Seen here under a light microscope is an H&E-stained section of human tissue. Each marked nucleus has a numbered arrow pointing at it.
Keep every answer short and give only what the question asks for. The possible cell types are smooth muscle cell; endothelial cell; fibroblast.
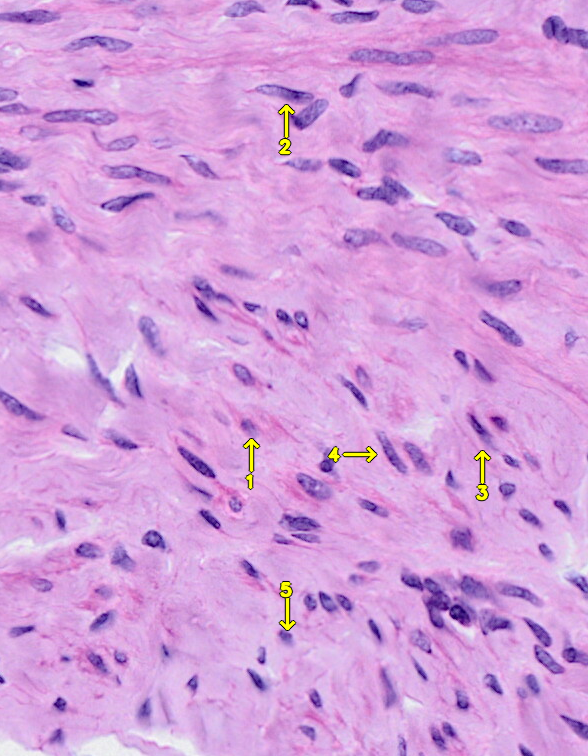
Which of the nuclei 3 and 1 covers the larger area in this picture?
3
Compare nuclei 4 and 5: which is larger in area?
4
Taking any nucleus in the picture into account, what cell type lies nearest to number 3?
smooth muscle cell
